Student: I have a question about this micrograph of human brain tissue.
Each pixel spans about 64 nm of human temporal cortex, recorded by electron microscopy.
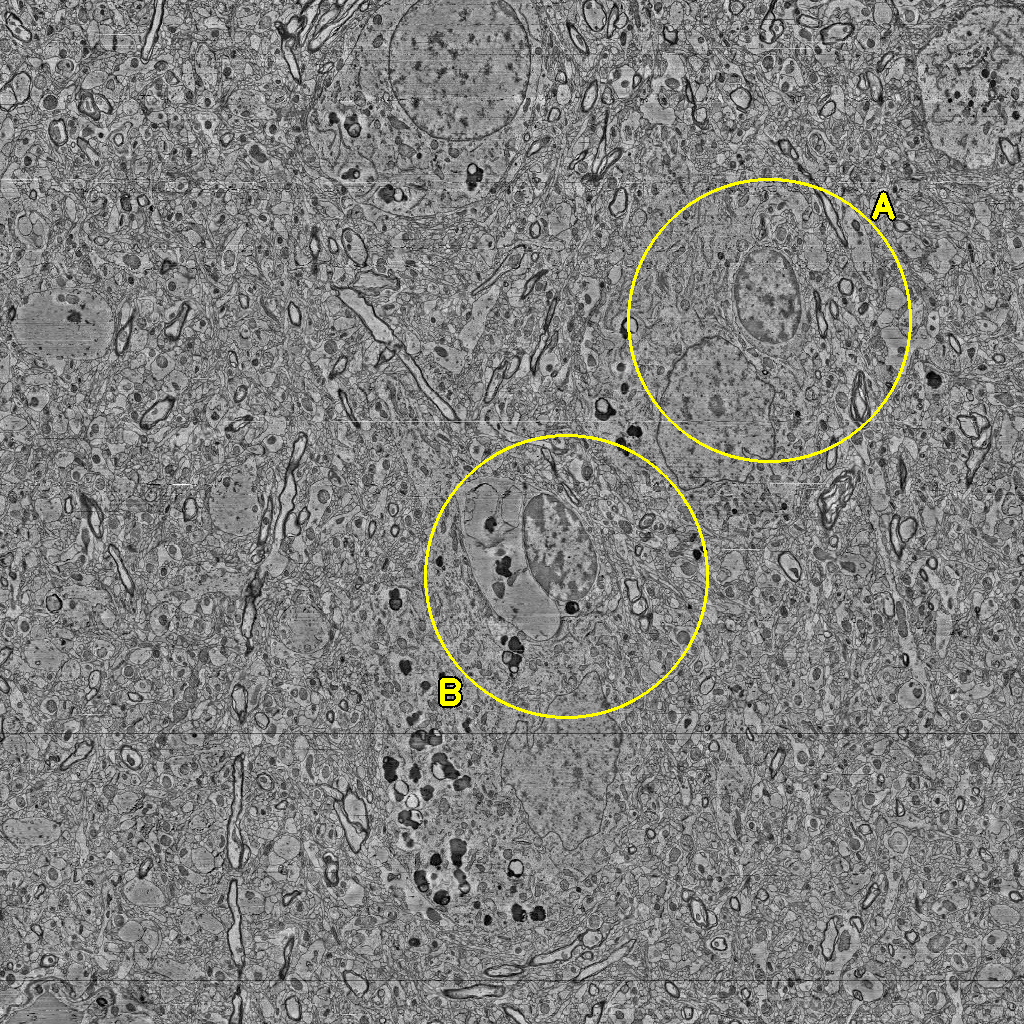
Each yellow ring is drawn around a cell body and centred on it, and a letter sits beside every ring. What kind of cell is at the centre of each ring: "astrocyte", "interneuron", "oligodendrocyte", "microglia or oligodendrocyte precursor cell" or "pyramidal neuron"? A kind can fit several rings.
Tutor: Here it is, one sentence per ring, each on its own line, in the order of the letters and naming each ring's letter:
For ring A, the cell at the centre is an oligodendrocyte.
For ring B, the cell at the centre is a microglial cell or oligodendrocyte precursor cell.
